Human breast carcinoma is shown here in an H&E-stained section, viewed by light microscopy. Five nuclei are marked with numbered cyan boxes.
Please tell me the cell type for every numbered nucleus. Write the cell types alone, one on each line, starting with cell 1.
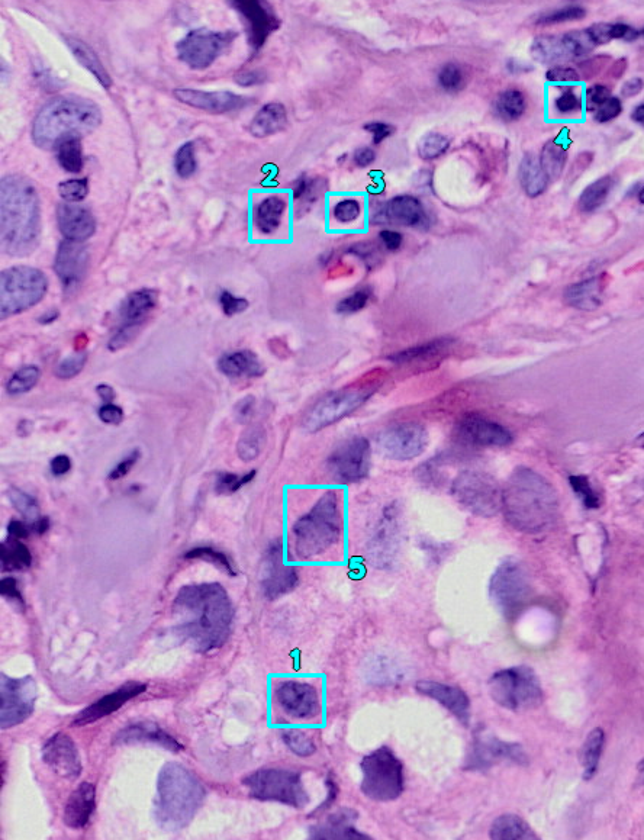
carcinoma cell
lymphocyte
lymphocyte
lymphocyte
carcinoma cell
